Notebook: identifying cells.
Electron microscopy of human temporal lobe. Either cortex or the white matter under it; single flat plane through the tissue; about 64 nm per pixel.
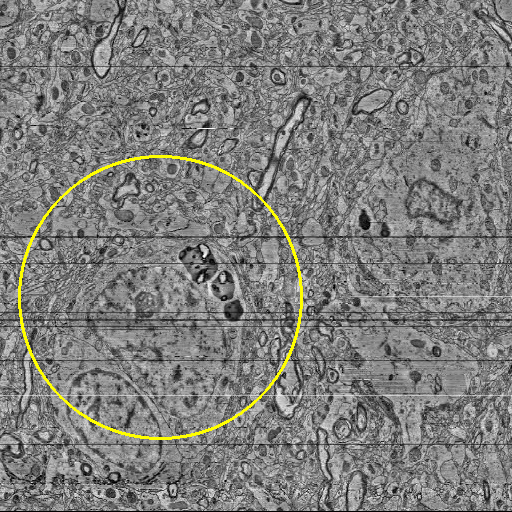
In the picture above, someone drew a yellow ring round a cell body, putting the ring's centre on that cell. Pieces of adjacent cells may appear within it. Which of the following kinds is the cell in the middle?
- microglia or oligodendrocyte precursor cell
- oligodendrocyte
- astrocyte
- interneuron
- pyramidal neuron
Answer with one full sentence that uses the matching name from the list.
In this picture, the yellow ring is centred on the body of an interneuron.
